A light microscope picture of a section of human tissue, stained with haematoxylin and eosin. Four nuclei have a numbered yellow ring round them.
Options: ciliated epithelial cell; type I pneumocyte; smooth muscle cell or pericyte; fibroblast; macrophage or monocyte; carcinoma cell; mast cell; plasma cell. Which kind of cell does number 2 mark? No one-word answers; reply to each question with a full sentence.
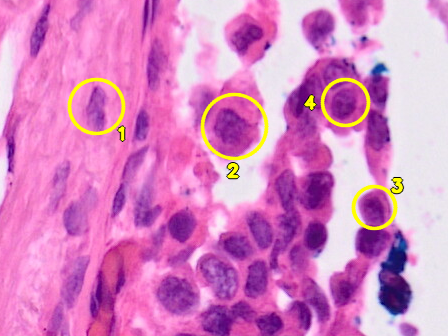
Recognised here as a carcinoma cell is the cell numbered 2.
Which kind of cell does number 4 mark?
The cell referred to as 4 is a carcinoma cell.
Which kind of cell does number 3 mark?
Cell 3, as marked in the section, is a carcinoma cell.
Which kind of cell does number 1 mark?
In this section, number 1 marks a fibroblast.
